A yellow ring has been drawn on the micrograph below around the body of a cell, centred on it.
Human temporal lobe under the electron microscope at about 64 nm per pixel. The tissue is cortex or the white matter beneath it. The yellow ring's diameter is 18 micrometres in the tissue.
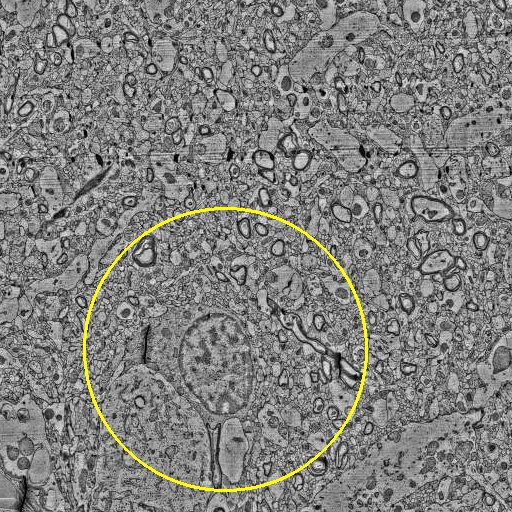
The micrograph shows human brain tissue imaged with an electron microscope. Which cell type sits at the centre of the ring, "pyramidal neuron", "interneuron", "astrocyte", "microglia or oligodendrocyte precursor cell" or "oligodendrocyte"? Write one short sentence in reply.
The cell sitting at the centre of the ring is an oligodendrocyte.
